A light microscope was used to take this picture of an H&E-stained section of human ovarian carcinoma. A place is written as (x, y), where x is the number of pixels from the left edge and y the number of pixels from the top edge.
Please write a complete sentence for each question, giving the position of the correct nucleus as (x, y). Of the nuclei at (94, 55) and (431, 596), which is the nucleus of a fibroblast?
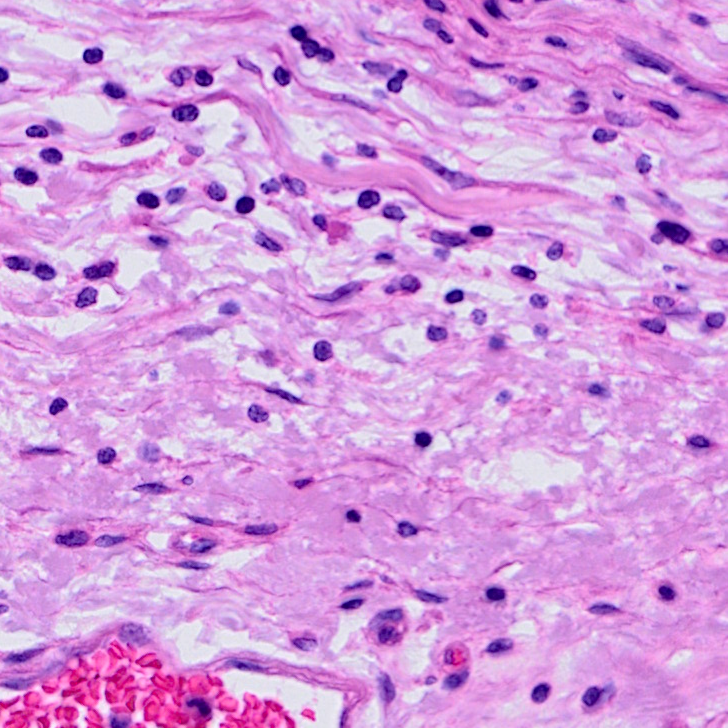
Of the two nuclei, the one at (431, 596) belongs to a fibroblast.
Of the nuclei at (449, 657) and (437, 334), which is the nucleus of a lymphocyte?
Of the pair, the nucleus positioned at (437, 334) is that of a lymphocyte.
